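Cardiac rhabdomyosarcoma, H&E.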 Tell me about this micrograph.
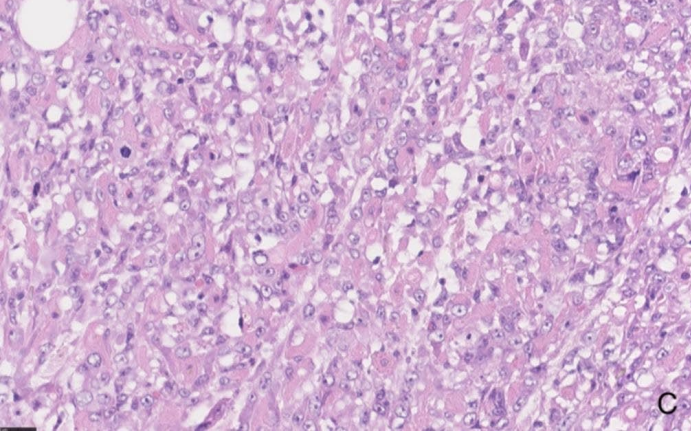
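A sheet of rounded and epithelioid tumor cells fills the field at high power. The cells are polygonal to round, with moderate to abundant eosinophilic pink cytoplasm, and some are more elongated among them. Nuclei are round to oval, vesicular, with distinct nucleoli, and vary in size; a few are darker and larger. Numerous clear, round vacuoles of varying size are scattered between and within the cells, giving a bubbly appearance. There is no organised architecture; the cells lie loosely packed with little intervening stroma.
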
